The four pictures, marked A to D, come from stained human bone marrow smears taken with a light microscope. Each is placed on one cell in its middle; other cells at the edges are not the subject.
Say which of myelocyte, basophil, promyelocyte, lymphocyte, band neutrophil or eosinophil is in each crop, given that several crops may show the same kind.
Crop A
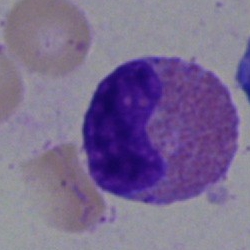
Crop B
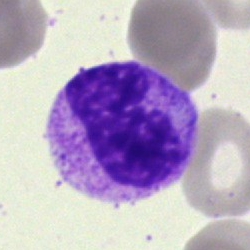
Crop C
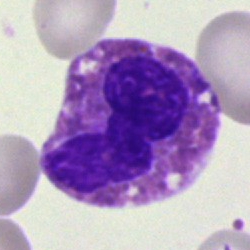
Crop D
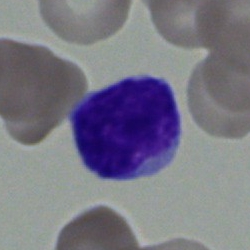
A: eosinophil
B: band neutrophil
C: eosinophil
D: lymphocyte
